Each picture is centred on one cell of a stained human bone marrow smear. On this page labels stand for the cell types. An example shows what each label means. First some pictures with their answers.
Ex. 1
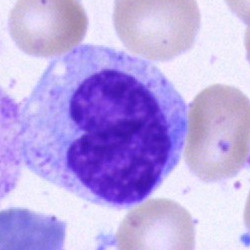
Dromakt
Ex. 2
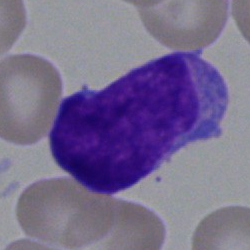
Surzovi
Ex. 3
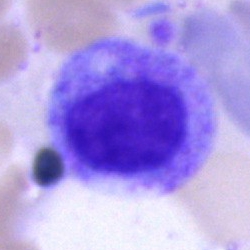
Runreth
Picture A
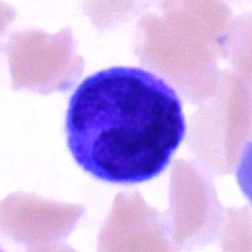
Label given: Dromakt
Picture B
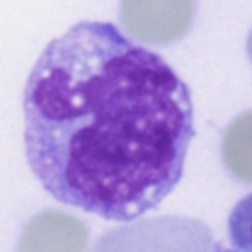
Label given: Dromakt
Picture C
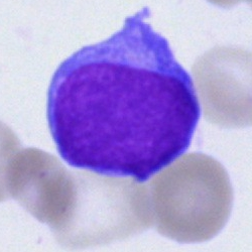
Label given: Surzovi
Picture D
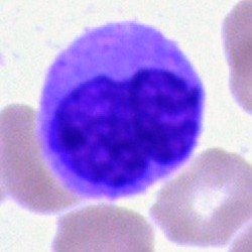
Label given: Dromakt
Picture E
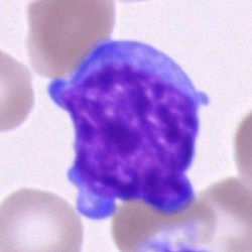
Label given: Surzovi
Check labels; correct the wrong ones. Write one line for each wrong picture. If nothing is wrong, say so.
None of the labels needs changing.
